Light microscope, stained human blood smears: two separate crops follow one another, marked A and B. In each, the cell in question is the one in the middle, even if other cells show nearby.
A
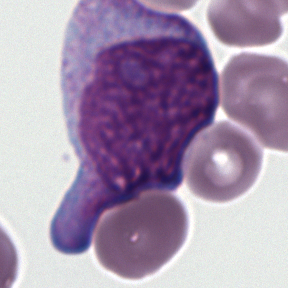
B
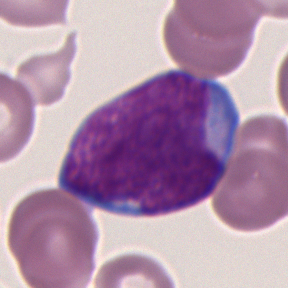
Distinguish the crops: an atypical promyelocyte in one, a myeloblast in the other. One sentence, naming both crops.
Crop A here is an atypical promyelocyte, and crop B is a myeloblast.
